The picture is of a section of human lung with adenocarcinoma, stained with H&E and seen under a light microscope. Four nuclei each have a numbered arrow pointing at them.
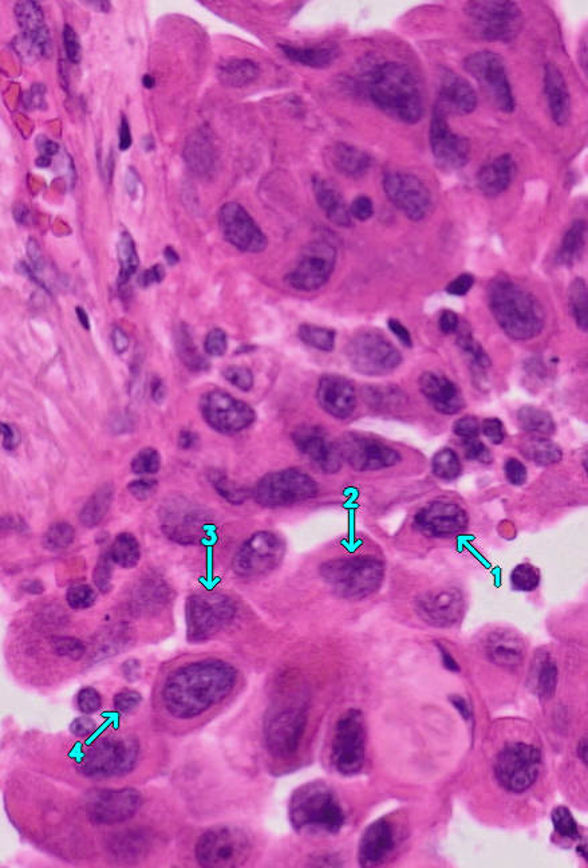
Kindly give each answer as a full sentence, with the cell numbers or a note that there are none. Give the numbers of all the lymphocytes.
Only one of the numbered nuclei, number 4, belongs to a lymphocyte.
